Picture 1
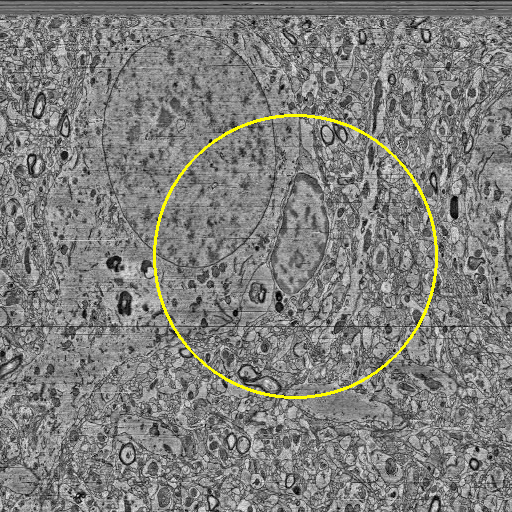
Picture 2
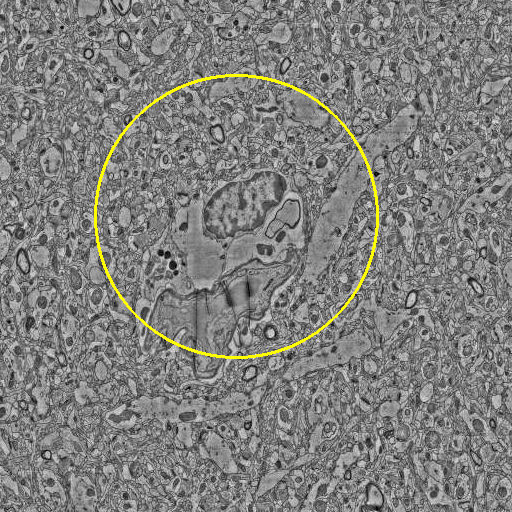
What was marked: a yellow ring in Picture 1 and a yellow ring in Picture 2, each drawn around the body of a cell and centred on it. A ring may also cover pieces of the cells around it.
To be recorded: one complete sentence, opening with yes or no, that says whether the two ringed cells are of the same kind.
Yes, the two ringed cells are of the same kind.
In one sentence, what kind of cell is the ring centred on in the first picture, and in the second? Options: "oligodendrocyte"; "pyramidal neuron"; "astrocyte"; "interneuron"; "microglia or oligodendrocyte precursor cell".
Each one of the two ringed cells is a microglial cell or oligodendrocyte precursor cell.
